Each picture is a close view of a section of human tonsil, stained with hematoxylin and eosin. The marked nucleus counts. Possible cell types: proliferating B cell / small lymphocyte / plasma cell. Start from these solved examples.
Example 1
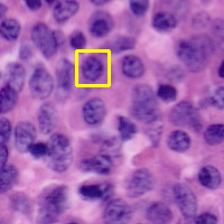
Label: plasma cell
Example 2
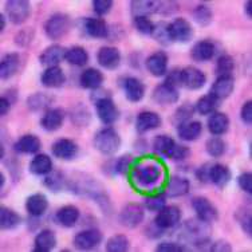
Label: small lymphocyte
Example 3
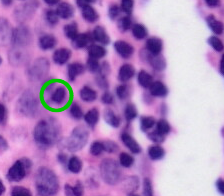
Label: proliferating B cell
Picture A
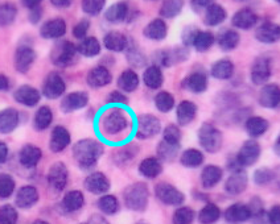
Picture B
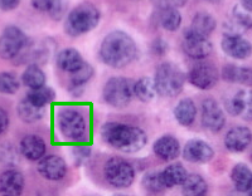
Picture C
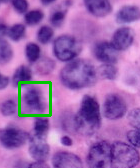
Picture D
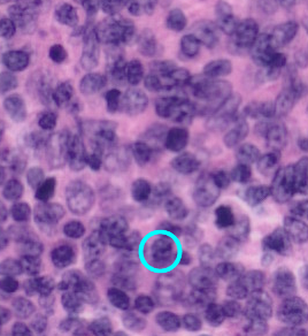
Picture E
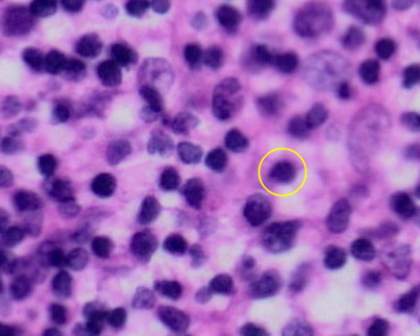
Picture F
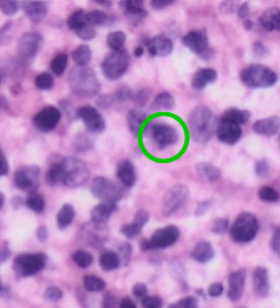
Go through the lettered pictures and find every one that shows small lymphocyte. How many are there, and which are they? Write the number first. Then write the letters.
1, namely A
